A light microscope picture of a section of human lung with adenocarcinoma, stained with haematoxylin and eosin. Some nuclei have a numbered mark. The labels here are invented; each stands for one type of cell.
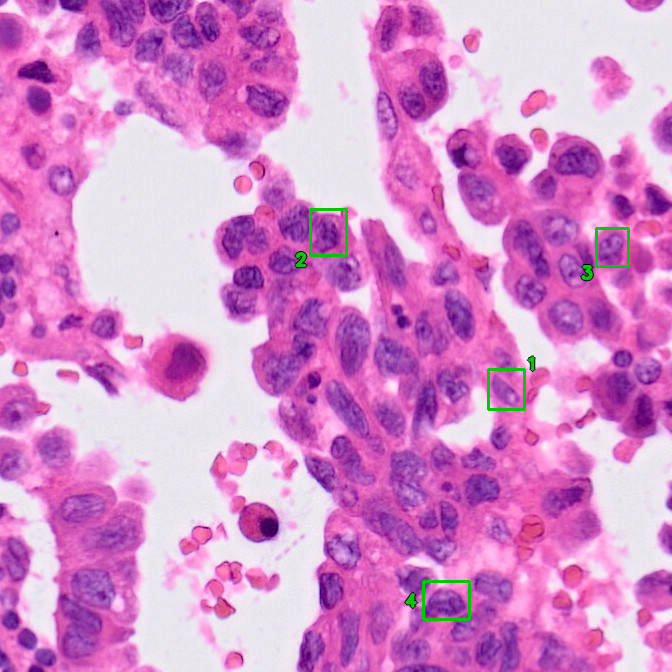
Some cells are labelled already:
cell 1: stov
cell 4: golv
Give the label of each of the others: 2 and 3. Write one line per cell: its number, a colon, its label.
2: golv
3: golv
